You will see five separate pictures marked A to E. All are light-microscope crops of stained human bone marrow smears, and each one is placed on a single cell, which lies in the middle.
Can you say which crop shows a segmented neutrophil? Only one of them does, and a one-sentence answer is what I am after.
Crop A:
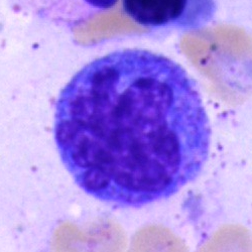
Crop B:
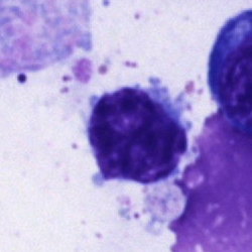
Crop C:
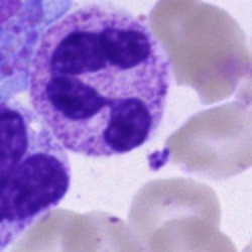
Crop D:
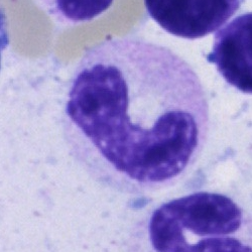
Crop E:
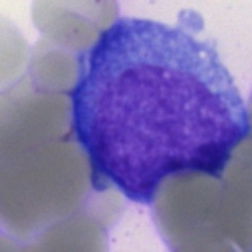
The one that shows a segmented neutrophil is crop C.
